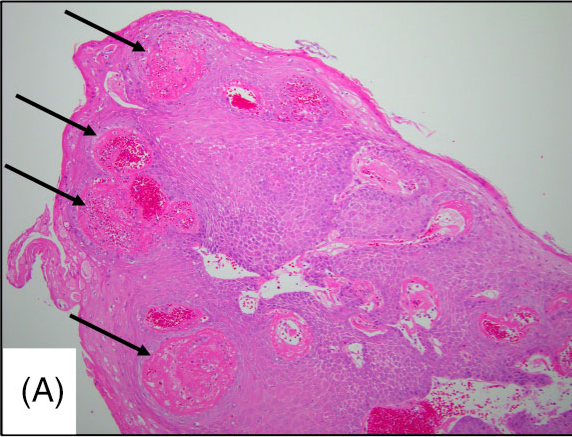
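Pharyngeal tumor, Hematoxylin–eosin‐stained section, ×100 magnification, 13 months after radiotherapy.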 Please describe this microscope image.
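This is a low-power view of mucosa covered by stratified squamous epithelium, with many blood vessels whose walls are thickened and glassy. The epithelium forms a broad, pink-purple layer of tightly packed cells with a flattened, more eosinophilic surface. Scattered through the tissue are round to oval vessels with thick, homogeneous, bright pink walls. Many of these vessels hold clusters of red blood cells in their lumens. Between the vessels lie irregular clefts and spaces in the tissue.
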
